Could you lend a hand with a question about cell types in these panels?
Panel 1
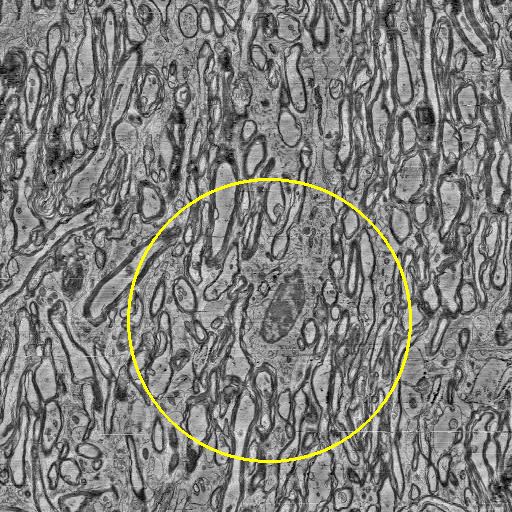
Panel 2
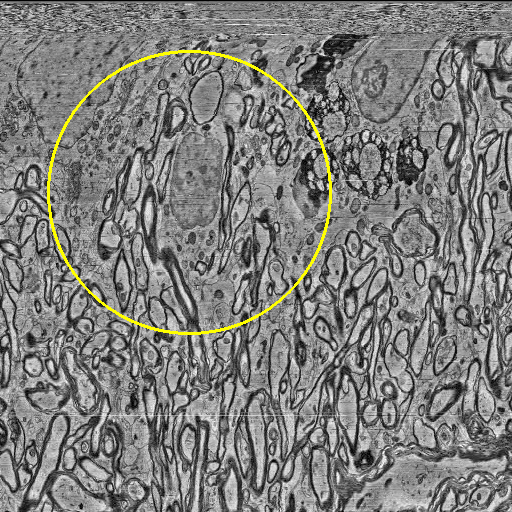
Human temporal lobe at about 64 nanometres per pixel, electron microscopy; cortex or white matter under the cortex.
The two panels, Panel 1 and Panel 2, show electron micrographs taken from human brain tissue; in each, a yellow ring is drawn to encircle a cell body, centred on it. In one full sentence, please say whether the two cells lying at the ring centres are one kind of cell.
No, the cells at the ring centres in the two panels are two kinds of cell.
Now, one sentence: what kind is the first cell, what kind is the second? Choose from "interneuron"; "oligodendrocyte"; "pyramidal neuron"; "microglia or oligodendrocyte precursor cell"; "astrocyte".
The first picture has a microglial cell or oligodendrocyte precursor cell at its ring centre, and the second has an oligodendrocyte.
